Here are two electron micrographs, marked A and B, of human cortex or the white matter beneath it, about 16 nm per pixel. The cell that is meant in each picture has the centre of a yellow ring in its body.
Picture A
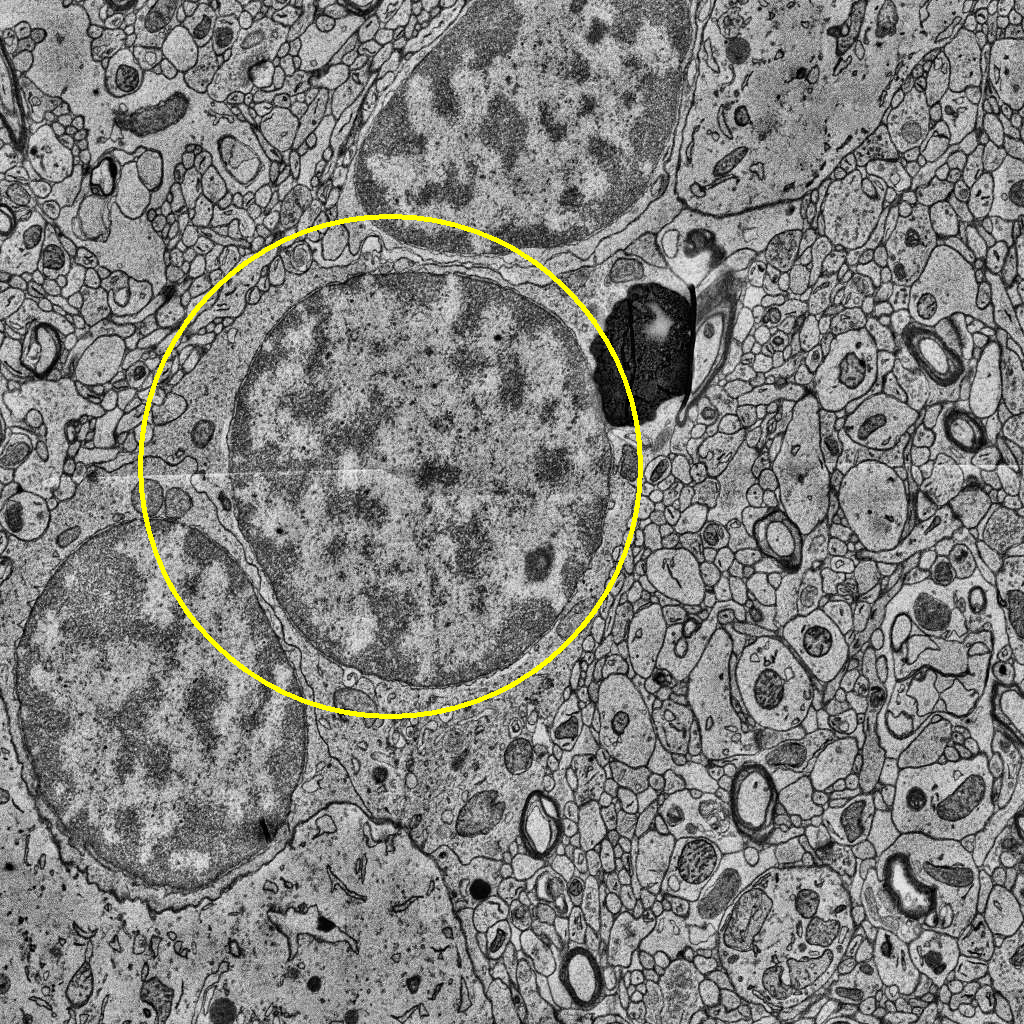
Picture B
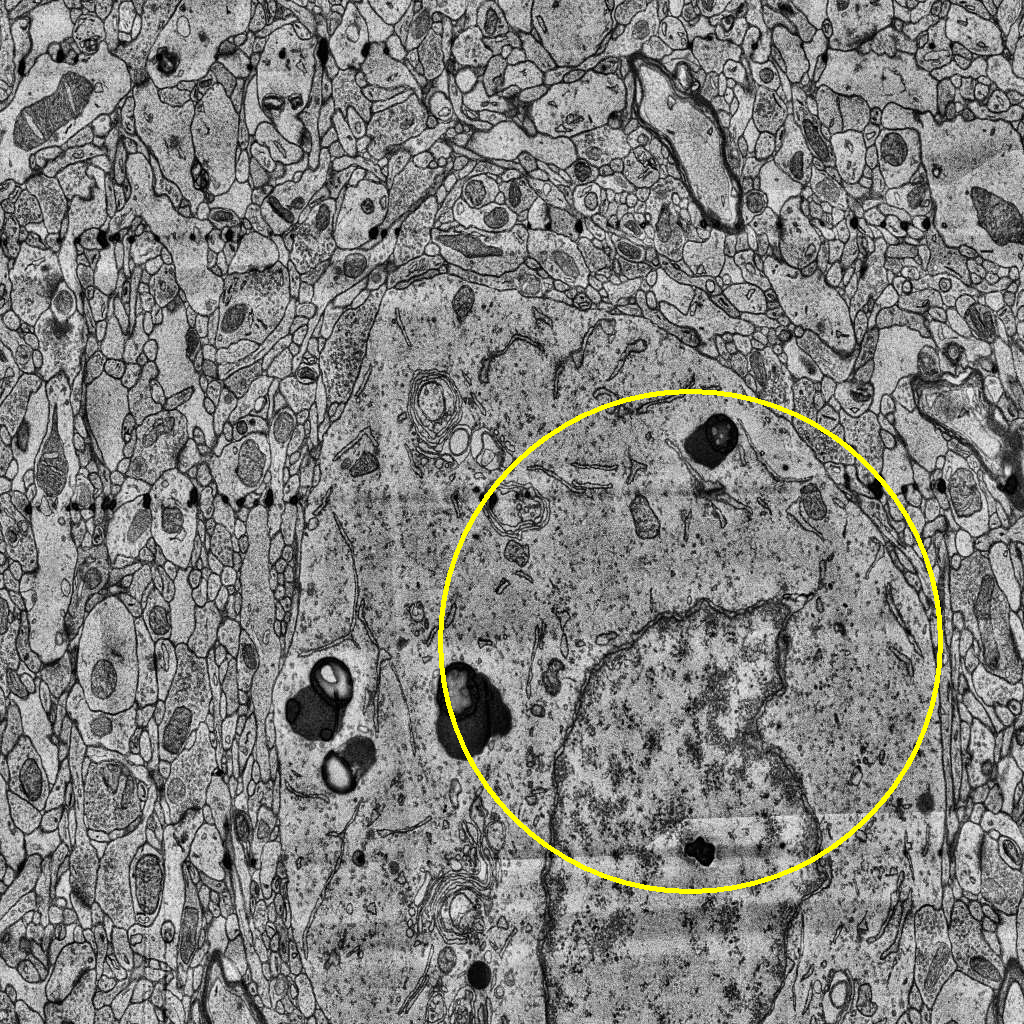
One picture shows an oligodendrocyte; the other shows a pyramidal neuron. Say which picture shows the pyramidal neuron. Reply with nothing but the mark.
B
